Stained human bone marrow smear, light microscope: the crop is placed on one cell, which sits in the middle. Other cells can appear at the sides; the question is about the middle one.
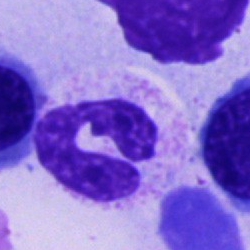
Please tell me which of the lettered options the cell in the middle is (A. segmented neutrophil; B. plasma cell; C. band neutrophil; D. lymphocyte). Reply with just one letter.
A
